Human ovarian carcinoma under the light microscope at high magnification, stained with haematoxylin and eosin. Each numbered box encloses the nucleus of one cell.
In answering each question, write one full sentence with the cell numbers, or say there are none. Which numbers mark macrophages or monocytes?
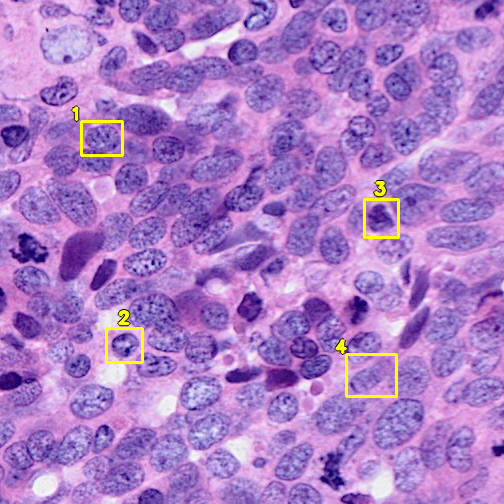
Of the cells carrying numbers, just cell 2 is a macrophage or monocyte.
